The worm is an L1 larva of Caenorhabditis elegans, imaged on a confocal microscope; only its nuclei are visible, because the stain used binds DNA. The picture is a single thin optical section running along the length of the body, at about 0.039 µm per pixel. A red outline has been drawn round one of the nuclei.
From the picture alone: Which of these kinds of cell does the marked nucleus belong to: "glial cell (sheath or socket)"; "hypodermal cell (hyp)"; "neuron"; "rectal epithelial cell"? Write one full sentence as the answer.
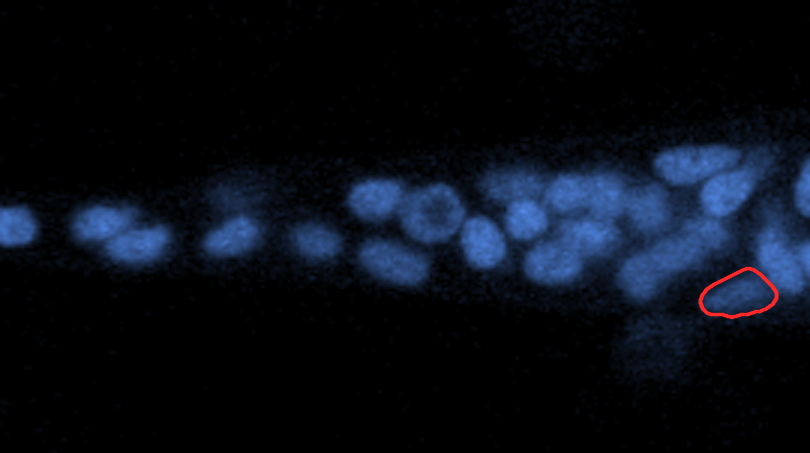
The nucleus comes from a rectal epithelial cell.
